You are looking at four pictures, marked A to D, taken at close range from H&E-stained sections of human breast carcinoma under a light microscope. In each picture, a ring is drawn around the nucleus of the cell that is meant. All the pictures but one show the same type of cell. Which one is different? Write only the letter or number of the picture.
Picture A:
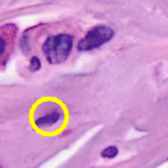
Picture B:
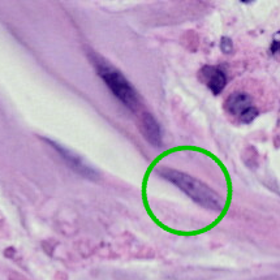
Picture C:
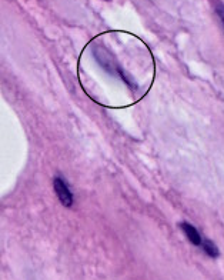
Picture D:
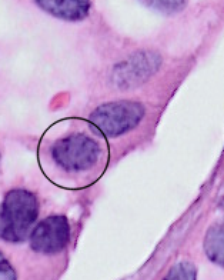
D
